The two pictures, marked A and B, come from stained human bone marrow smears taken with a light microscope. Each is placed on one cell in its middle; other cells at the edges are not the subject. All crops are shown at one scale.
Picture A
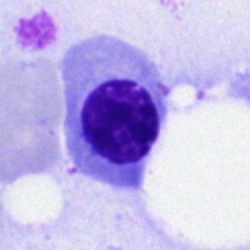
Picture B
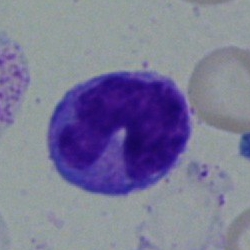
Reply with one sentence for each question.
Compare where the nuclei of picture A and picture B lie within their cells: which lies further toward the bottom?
In picture A the nucleus is shifted more toward the bottom.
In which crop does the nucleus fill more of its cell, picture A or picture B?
It is the cell in picture B that is filled more by its nucleus.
